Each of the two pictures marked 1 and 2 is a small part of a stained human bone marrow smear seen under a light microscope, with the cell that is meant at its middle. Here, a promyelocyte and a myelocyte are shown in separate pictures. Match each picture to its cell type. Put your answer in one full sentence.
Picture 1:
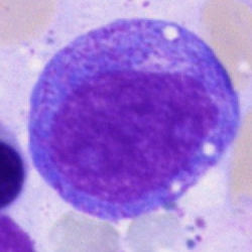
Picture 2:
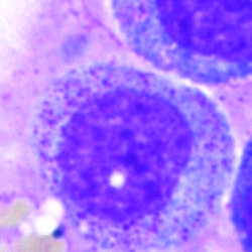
It is picture 1 that shows a promyelocyte, and picture 2 that shows a myelocyte.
